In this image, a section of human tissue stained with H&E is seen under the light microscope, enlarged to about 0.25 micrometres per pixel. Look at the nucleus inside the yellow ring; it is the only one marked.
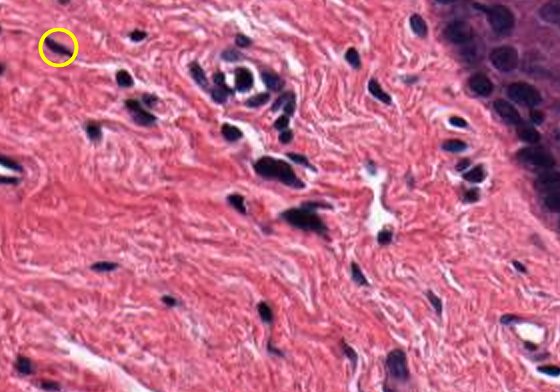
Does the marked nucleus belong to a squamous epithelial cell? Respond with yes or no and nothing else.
no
